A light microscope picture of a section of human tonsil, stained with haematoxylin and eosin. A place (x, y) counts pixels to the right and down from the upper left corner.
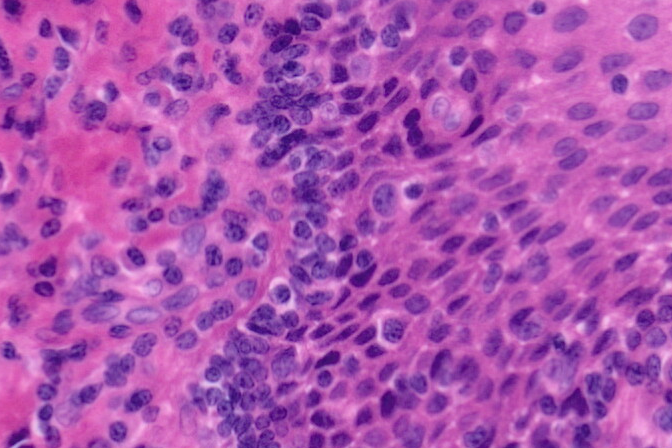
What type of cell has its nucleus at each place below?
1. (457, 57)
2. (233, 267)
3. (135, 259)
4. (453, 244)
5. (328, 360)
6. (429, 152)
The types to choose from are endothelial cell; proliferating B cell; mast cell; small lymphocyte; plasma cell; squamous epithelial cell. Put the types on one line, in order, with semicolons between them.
squamous epithelial cell; plasma cell; plasma cell; squamous epithelial cell; squamous epithelial cell; squamous epithelial cell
